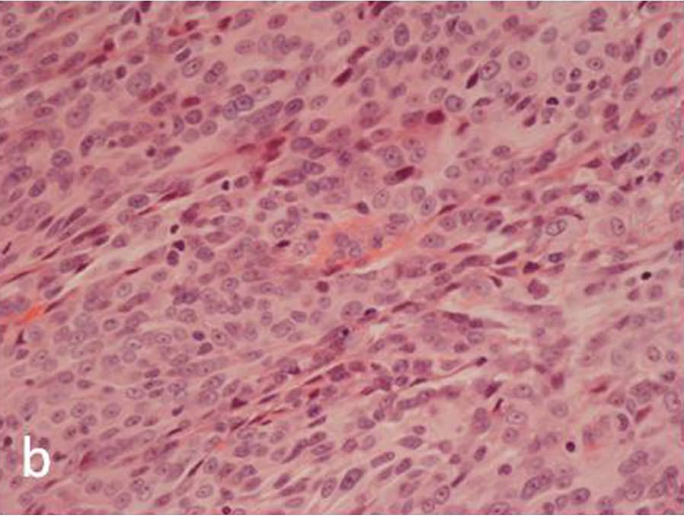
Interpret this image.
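Densely packed tumour cells with pink cytoplasm and ill-defined borders run in loose streams and sheets. Their nuclei are oval to round with open, vesicular chromatin, and many hold a distinct dark nucleolus. Nuclear size and shape vary noticeably from cell to cell: scattered nuclei are enlarged, irregular and deeply stained beside smaller, paler oval ones. Thin pink strands of stroma cross between the cells.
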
